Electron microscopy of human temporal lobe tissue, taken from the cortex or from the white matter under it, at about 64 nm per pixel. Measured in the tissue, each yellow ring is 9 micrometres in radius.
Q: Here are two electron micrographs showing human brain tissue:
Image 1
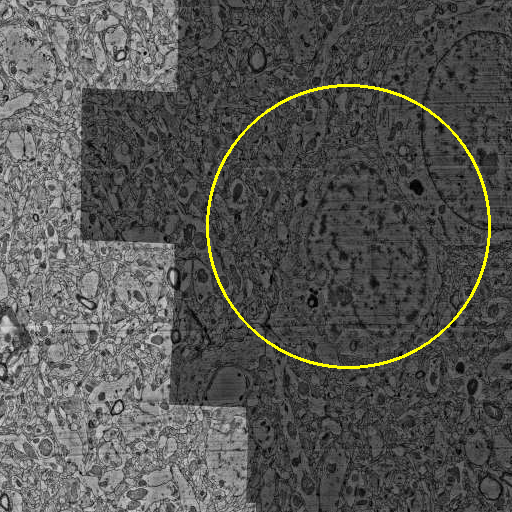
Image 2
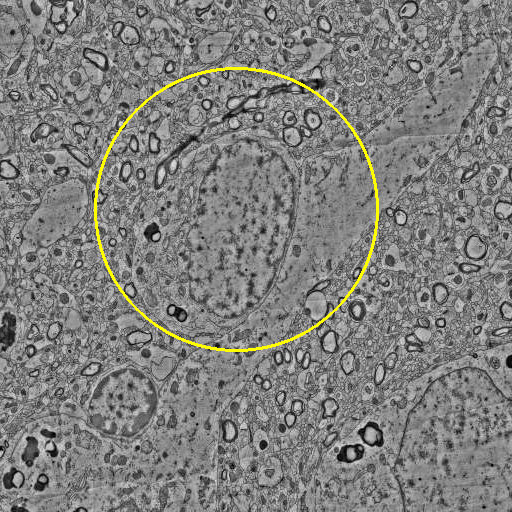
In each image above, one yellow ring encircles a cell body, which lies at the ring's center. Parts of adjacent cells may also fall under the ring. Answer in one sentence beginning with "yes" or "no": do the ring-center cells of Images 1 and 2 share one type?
Yes, in Images 1 and 2, the ring-center cells are both of one type.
